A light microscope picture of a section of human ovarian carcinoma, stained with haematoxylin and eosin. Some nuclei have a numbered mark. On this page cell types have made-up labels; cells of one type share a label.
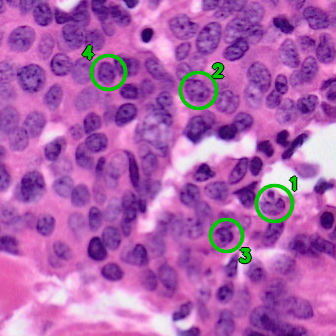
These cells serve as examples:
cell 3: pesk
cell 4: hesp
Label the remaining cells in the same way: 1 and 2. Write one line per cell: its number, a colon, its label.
1: pesk
2: hesp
